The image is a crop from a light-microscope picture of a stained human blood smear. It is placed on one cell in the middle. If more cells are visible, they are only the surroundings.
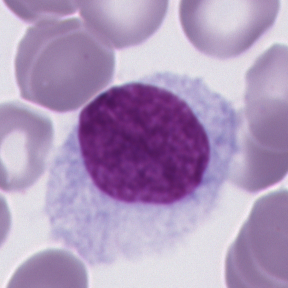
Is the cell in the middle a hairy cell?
yes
